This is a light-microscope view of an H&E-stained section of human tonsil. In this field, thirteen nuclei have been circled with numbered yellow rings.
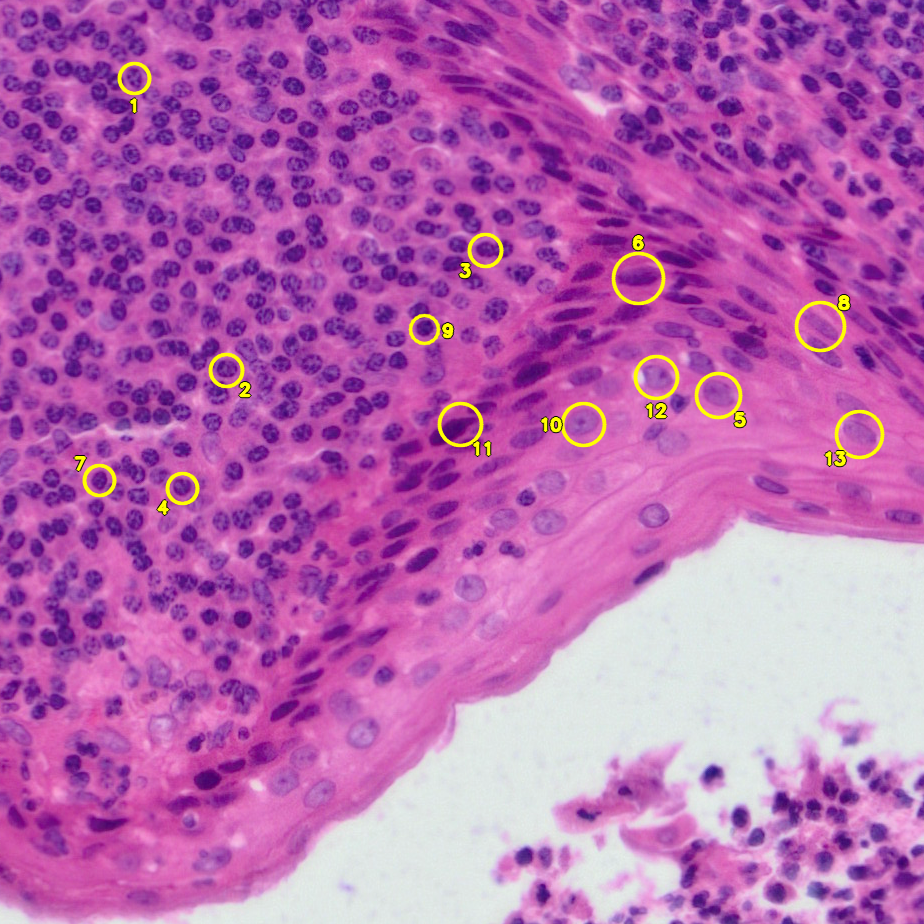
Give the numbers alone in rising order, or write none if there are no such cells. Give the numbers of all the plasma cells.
1, 2, 3, 4, 7, 9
